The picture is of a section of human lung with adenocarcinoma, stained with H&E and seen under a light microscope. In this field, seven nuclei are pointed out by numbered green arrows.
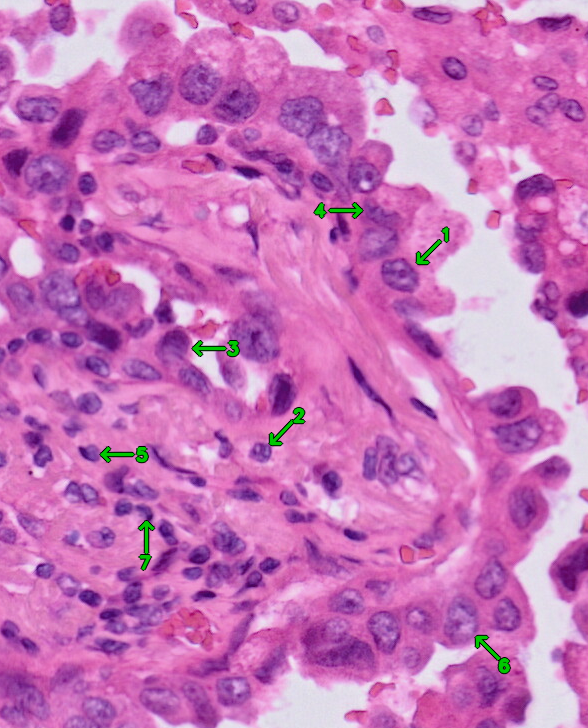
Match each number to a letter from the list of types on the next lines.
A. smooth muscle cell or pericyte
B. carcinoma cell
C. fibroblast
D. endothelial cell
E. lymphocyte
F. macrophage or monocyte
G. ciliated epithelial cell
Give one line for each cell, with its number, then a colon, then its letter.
1: B
2: E
3: B
4: B
5: E
6: B
7: E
